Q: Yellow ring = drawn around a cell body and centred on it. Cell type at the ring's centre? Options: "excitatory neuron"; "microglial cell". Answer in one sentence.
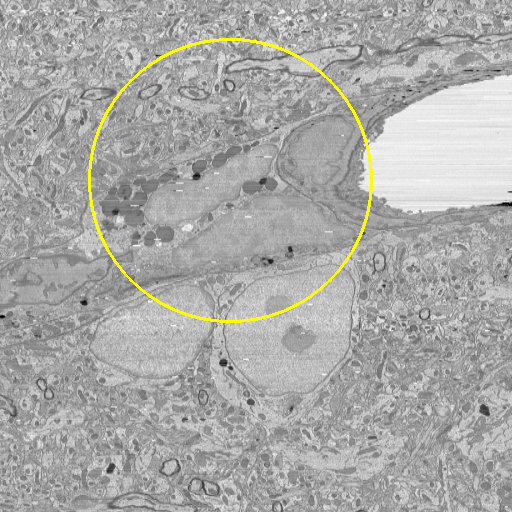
Centred in the ring is a microglial cell.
